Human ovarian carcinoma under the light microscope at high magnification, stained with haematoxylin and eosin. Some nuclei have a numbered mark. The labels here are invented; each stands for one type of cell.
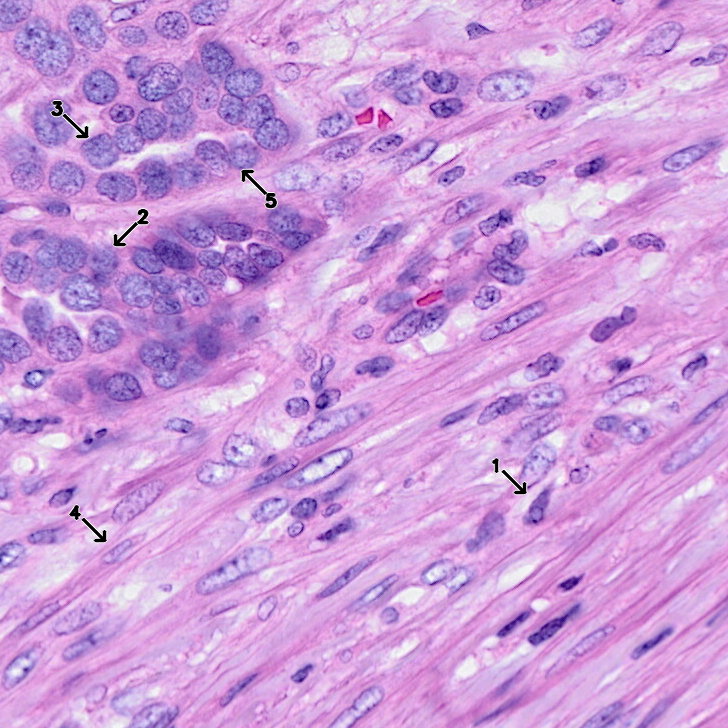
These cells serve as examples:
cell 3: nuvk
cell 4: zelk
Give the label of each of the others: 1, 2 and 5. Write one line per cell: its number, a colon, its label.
1: zelk
2: nuvk
5: nuvk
